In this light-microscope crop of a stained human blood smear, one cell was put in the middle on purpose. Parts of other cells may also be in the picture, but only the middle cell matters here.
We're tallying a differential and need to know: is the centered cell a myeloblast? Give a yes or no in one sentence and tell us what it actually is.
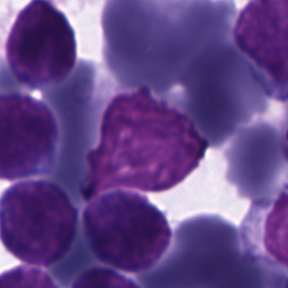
Yes, the cell at the center of the crop is a myeloblast.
